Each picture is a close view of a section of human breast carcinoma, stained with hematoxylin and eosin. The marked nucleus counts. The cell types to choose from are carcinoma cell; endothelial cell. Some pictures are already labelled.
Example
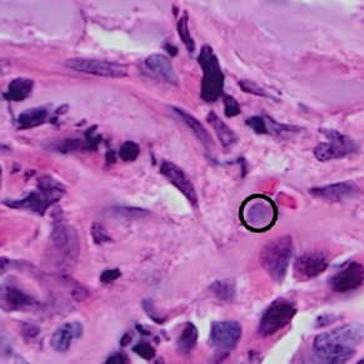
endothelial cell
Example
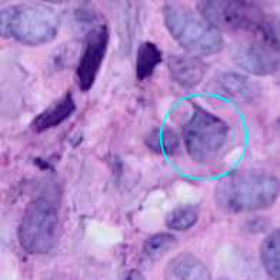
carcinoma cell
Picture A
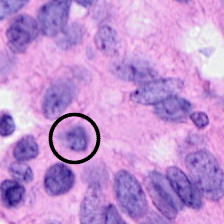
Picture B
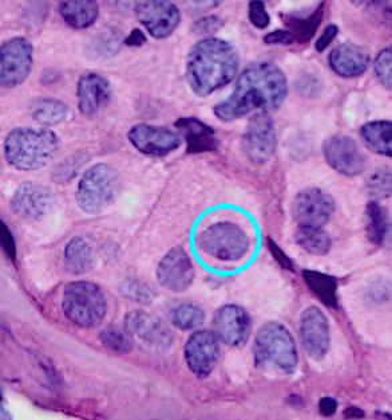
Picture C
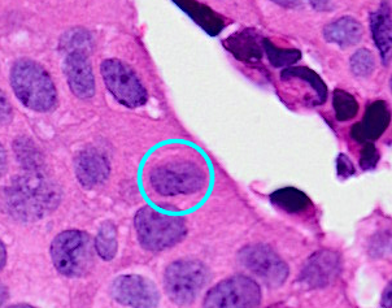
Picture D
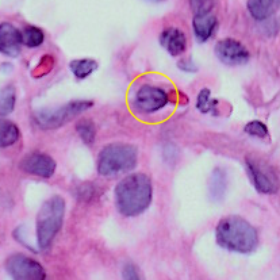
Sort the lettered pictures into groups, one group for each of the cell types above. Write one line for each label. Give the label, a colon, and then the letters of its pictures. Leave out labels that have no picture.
carcinoma cell: A, B, C
endothelial cell: D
